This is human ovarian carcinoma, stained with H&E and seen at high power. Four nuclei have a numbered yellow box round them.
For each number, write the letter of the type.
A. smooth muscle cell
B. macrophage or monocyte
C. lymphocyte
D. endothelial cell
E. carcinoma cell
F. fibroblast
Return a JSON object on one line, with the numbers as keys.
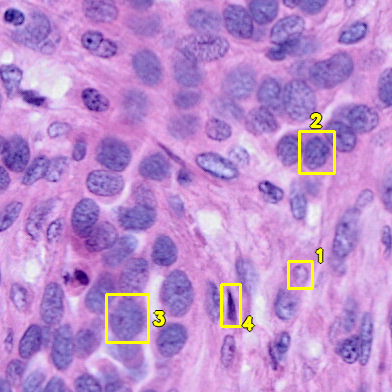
{"1": "F", "2": "E", "3": "E", "4": "F"}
